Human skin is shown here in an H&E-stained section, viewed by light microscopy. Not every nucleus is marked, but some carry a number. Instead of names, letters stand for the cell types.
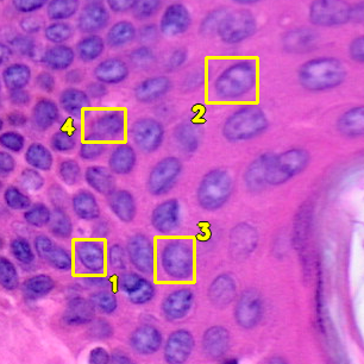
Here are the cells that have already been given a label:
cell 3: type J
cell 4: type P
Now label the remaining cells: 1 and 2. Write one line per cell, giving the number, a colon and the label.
1: type J
2: type J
